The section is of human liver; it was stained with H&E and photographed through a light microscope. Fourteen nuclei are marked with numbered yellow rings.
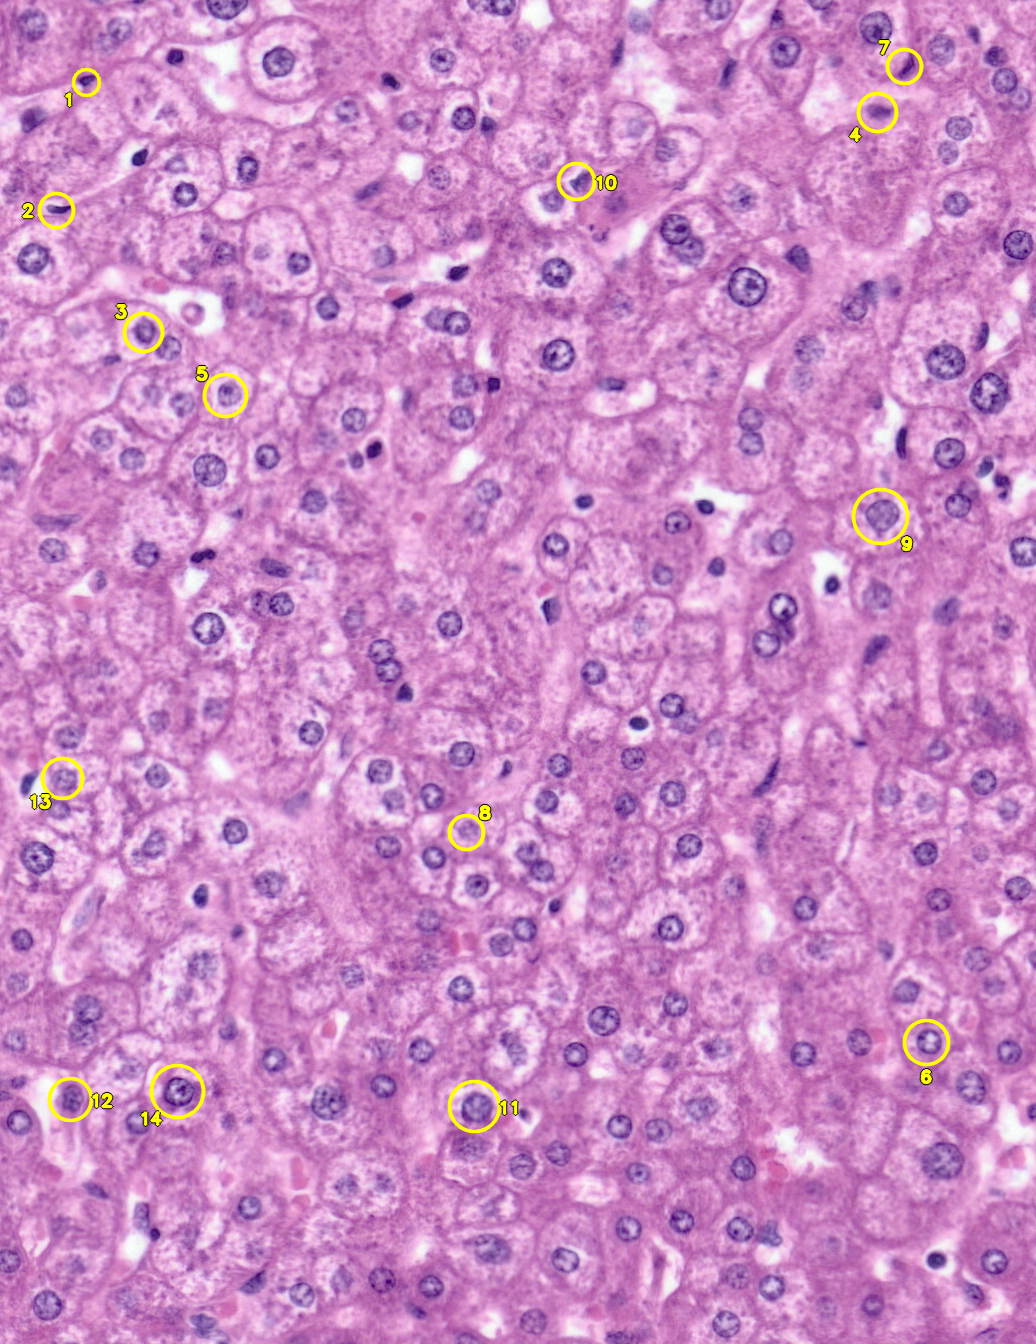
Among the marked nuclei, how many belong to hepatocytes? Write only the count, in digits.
8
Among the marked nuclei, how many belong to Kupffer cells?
1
